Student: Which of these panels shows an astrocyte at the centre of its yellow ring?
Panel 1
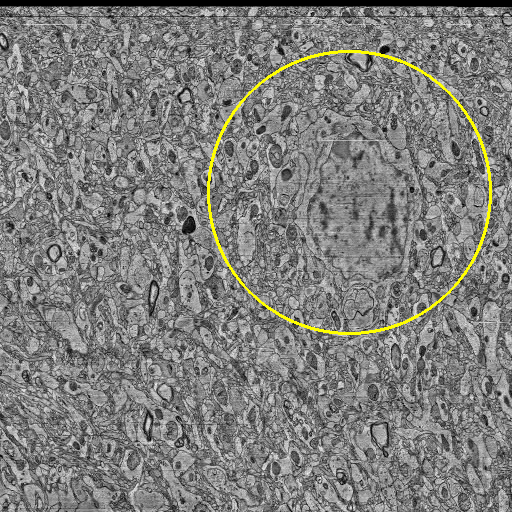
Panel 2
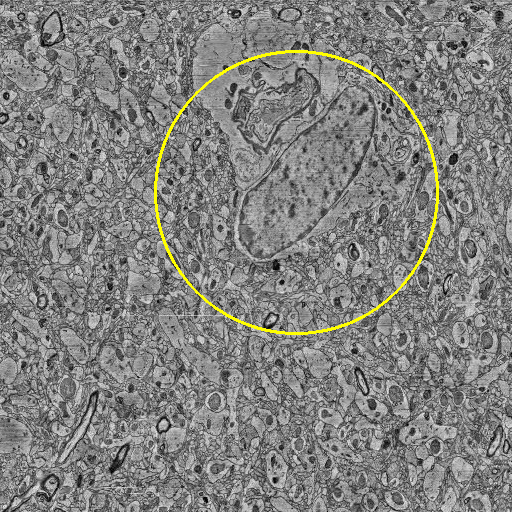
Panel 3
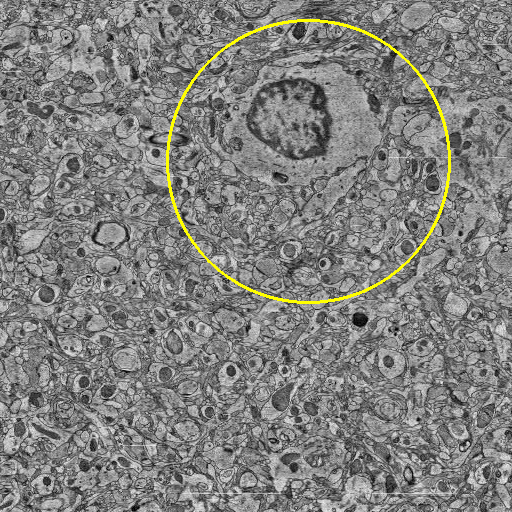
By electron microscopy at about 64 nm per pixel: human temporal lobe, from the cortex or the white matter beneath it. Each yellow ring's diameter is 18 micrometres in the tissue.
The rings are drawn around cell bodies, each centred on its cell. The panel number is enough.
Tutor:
3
